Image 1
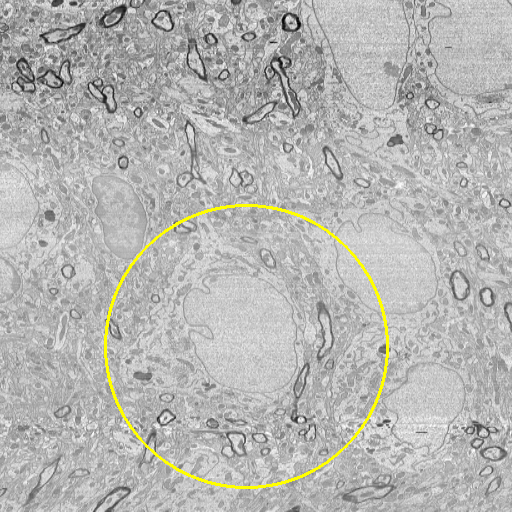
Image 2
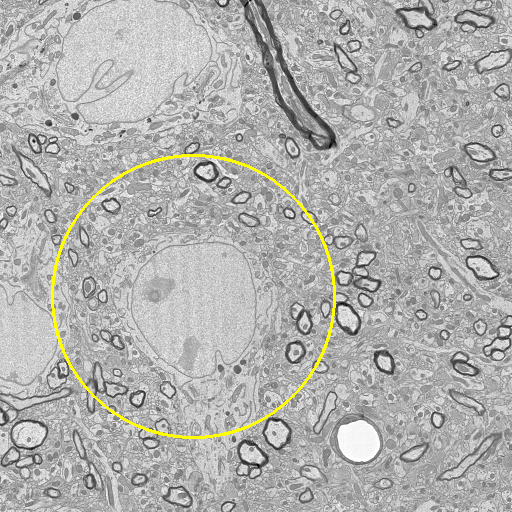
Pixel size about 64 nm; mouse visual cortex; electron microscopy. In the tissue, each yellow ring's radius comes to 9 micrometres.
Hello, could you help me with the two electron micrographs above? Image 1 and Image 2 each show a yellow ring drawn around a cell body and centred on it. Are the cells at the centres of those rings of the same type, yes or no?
yes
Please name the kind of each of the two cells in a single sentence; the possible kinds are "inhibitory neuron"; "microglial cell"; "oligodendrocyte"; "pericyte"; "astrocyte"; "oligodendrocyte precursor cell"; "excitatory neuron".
Each cell, in the first picture and the second, is an excitatory neuron.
